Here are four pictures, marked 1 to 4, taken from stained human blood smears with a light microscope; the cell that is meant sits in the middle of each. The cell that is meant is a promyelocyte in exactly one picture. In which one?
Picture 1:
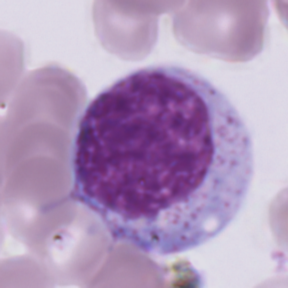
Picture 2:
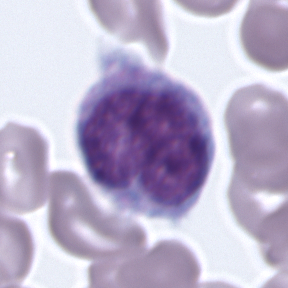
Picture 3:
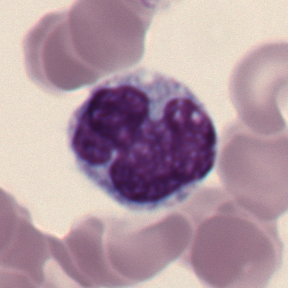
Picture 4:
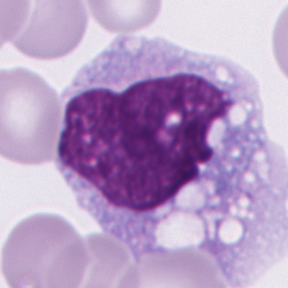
1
